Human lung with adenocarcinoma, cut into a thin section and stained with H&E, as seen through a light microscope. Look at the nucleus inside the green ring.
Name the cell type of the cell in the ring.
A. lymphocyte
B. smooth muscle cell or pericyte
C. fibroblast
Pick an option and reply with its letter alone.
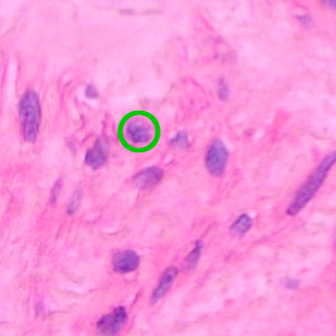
B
